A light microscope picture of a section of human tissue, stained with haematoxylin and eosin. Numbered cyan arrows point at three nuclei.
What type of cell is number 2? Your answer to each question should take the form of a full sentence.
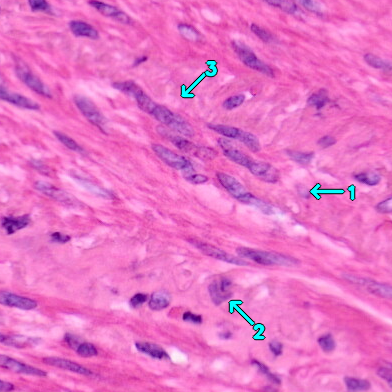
Cell 2 in the field of view is a fibroblast.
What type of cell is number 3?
The cell to which the number 3 is assigned is a smooth muscle cell or pericyte.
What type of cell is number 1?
Belonging to a smooth muscle cell or pericyte is the nucleus that carries the number 1.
